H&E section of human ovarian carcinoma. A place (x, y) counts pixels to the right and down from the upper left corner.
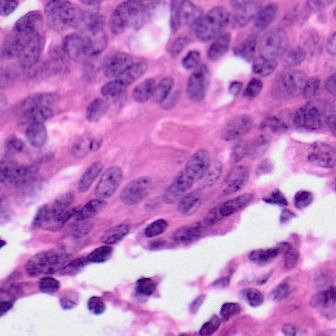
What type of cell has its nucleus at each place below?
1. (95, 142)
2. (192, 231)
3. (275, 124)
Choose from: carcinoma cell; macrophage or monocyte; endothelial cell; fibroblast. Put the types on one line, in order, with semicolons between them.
endothelial cell; carcinoma cell; carcinoma cell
